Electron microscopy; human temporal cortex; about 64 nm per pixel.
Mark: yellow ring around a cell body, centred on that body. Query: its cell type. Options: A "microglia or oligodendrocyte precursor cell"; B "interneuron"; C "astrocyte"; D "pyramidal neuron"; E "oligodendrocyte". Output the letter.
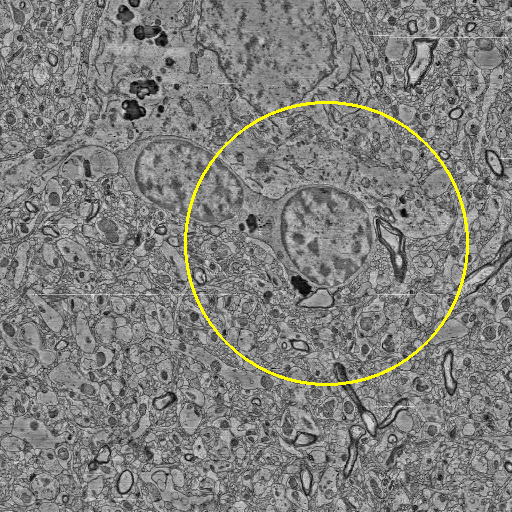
E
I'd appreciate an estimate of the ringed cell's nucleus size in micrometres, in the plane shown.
Roughly 7 by 6 micrometres is the size of the nucleus in this plane.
